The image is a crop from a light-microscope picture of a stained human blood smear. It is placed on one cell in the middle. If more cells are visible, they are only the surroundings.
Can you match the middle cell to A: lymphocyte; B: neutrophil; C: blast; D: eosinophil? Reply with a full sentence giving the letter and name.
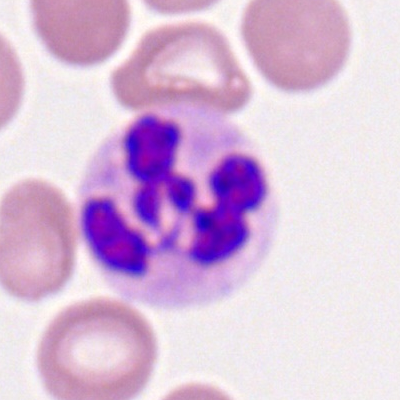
The correct identification, given in option B, is that the central cell is a neutrophil.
